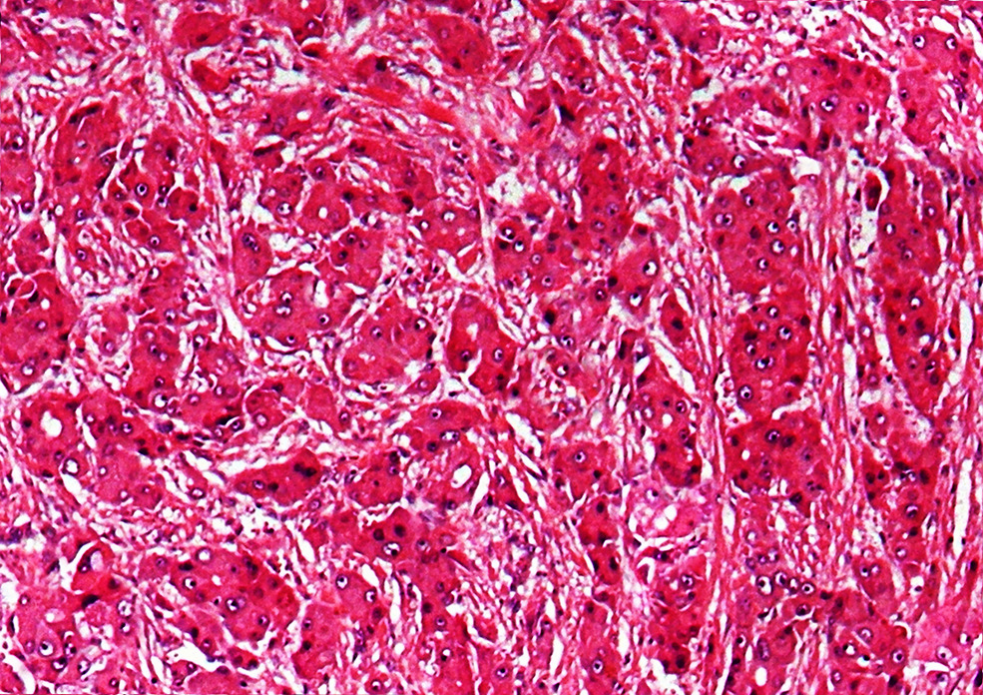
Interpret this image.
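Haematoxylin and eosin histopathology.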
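Pleomorphic tumour cells, large and polygonal with abundant deep pink cytoplasm, lie in cords and solid nests. Their round nuclei vary in size and many carry a single conspicuous dark nucleolus. Pale, wavy fibrous strands with thin spindle-shaped nuclei run between the groups of tumour cells.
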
